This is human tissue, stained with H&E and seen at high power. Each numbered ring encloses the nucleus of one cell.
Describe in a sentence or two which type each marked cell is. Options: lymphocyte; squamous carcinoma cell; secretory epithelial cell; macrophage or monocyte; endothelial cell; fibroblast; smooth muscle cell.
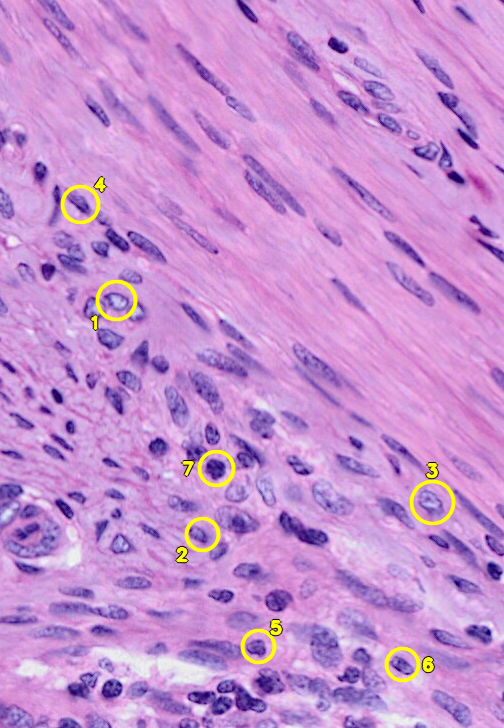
Cell 1 is an endothelial cell, cell 2 is a smooth muscle cell, cell 3 is a smooth muscle cell, cell 4 is a fibroblast, cell 5 is a lymphocyte, cell 6 is a lymphocyte and cell 7 is a lymphocyte.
